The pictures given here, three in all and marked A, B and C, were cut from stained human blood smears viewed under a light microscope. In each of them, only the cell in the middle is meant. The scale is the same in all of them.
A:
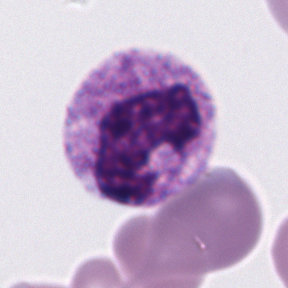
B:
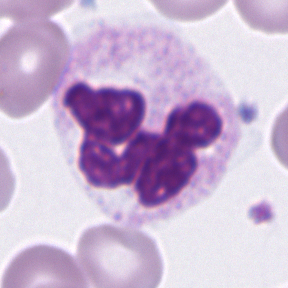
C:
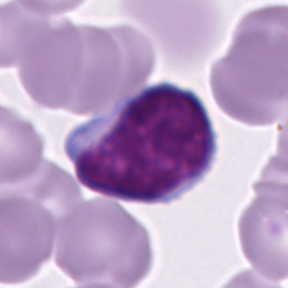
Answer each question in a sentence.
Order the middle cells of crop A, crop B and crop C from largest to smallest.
From the largest down, the order is B, A, C.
